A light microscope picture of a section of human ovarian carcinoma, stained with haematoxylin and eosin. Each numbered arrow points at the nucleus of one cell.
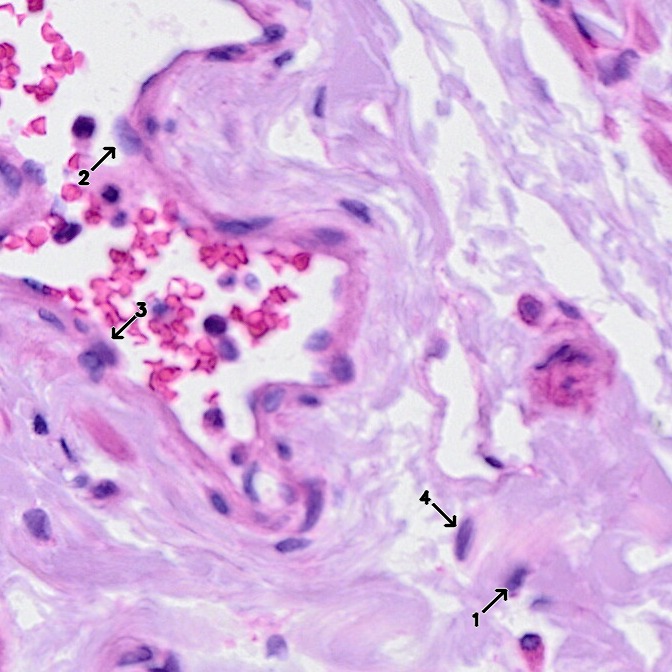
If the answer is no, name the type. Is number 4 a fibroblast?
Yes.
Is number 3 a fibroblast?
No, it is an endothelial cell.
